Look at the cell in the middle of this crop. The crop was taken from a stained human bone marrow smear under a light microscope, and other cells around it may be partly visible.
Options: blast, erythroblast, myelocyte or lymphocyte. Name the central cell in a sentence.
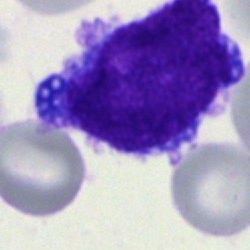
On this slide crop, the central cell is a blast.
